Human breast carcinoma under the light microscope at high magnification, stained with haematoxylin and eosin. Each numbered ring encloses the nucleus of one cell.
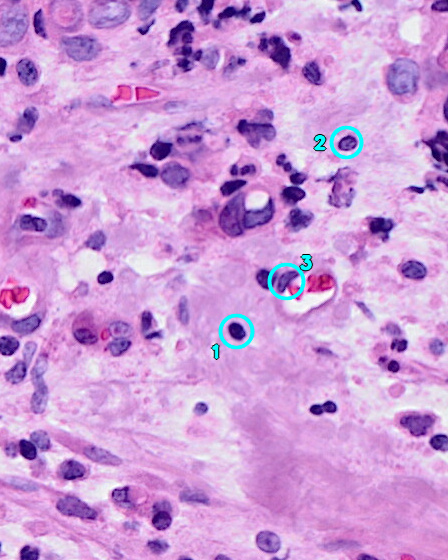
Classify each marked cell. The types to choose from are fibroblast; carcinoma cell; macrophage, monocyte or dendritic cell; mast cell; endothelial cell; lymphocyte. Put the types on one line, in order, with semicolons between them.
lymphocyte; lymphocyte; endothelial cell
